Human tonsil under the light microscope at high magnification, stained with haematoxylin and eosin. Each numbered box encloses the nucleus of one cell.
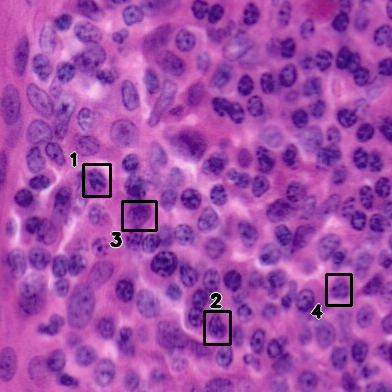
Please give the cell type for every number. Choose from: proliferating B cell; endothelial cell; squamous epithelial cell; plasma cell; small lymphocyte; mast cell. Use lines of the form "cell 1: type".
cell 1: plasma cell
cell 2: plasma cell
cell 3: squamous epithelial cell
cell 4: plasma cell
